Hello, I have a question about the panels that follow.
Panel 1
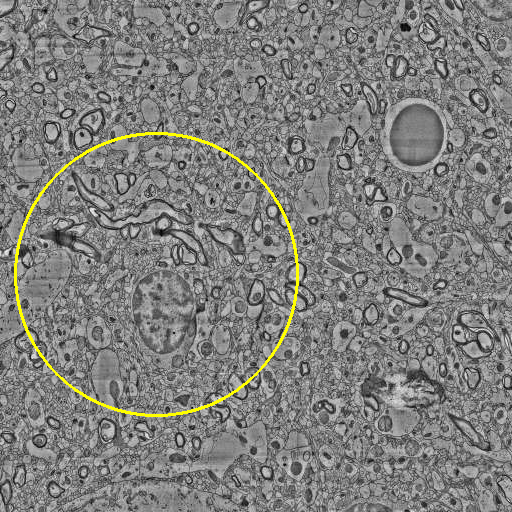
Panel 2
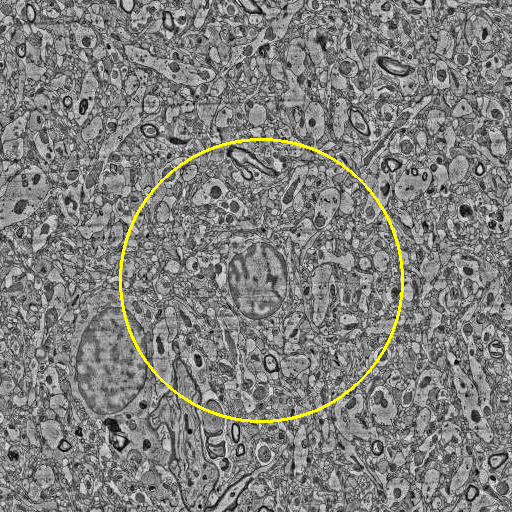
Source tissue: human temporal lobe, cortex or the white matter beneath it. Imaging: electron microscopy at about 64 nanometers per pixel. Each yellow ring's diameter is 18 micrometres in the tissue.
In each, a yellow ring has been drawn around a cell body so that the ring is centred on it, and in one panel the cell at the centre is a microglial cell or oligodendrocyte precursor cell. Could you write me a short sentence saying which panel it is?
It is Panel 2.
